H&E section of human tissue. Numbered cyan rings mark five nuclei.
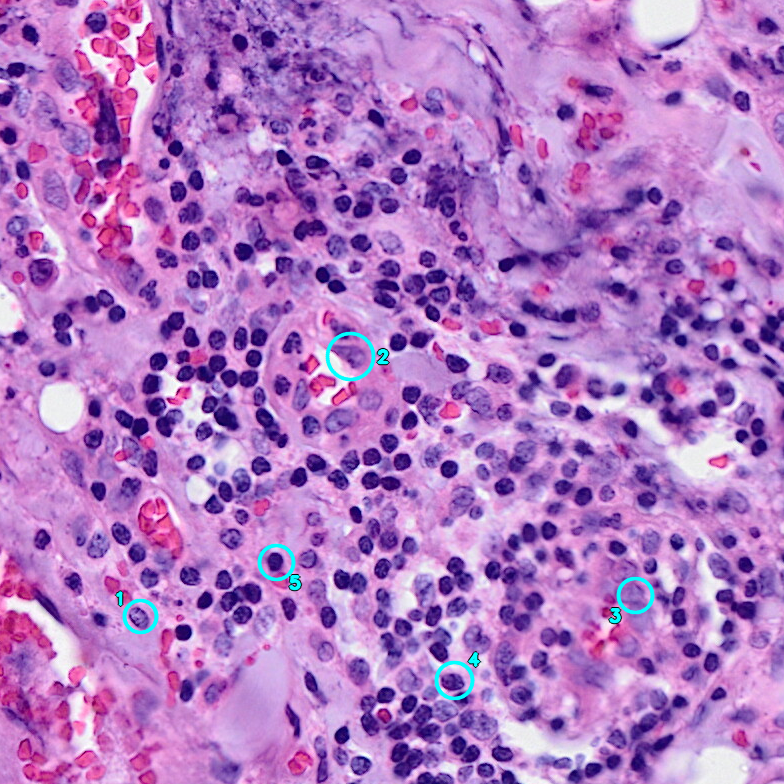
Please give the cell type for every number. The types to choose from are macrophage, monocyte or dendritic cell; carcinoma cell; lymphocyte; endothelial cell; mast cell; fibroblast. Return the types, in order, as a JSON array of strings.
["mast cell", "endothelial cell", "endothelial cell", "lymphocyte", "lymphocyte"]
